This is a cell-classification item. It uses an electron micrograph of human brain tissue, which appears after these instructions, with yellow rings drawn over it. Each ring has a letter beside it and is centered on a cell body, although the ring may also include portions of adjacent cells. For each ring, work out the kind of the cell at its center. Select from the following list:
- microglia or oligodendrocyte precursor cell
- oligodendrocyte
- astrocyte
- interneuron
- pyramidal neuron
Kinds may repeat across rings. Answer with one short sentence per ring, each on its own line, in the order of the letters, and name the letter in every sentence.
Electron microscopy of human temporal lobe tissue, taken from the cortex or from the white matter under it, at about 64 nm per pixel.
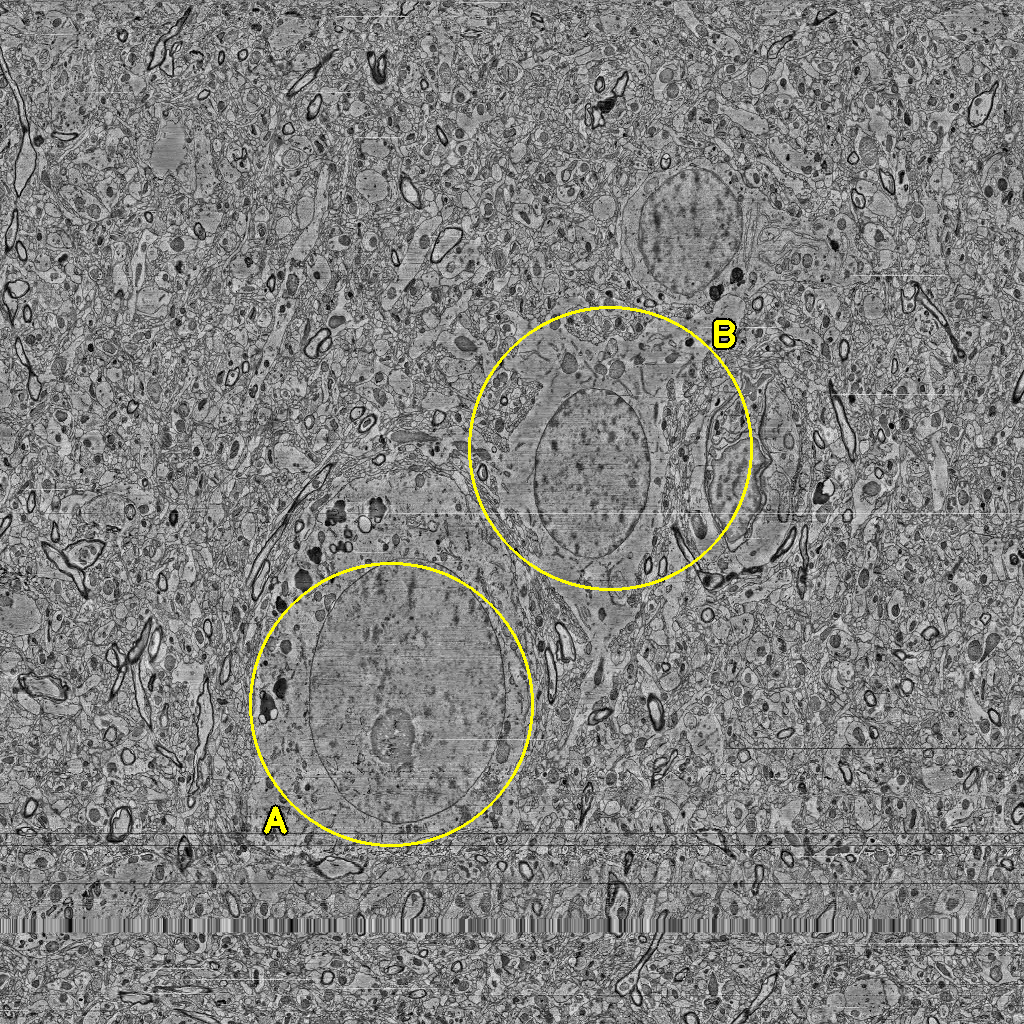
Ring A has a pyramidal neuron at its center.
Ring B has an astrocyte at its center.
